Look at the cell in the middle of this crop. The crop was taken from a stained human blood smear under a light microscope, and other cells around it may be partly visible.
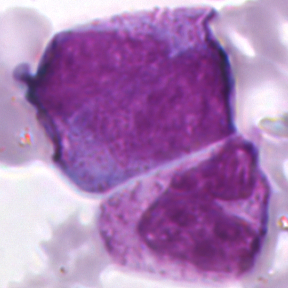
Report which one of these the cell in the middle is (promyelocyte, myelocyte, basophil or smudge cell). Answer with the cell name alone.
promyelocyte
